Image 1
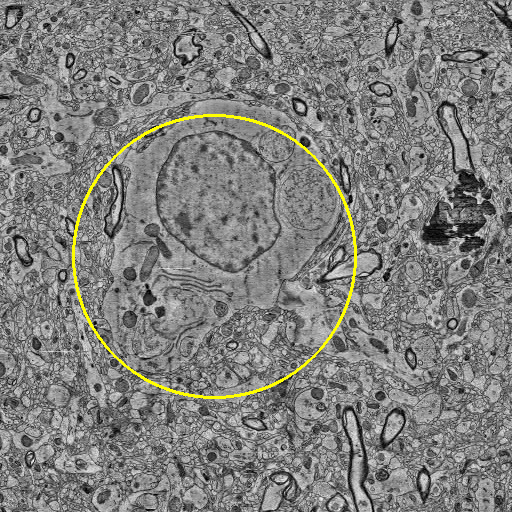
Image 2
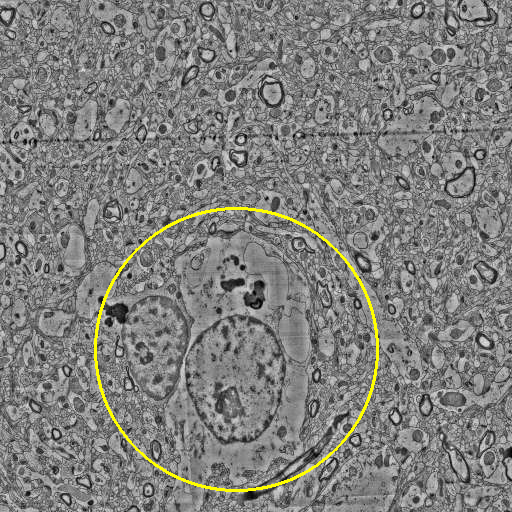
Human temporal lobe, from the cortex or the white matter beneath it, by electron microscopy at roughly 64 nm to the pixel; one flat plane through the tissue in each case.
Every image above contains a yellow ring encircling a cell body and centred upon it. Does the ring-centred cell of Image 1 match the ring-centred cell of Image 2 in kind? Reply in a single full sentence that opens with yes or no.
Yes, the cell at the ring's centre in Image 1 is the same kind as that in Image 2.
